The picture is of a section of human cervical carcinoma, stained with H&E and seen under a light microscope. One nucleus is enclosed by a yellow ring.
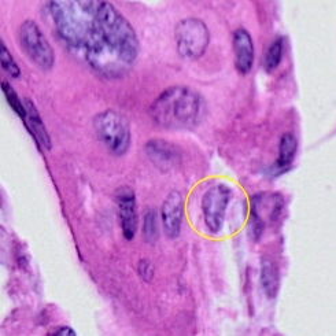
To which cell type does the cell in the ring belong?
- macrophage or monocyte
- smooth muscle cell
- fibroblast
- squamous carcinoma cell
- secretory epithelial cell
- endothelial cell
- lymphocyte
macrophage or monocyte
